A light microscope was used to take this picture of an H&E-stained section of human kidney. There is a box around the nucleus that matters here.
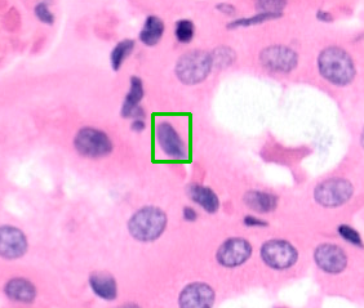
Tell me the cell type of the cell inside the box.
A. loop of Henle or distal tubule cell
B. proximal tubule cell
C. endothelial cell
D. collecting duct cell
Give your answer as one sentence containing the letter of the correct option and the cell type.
Under option C, the cell inside the box is an endothelial cell, which is the correct identification.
